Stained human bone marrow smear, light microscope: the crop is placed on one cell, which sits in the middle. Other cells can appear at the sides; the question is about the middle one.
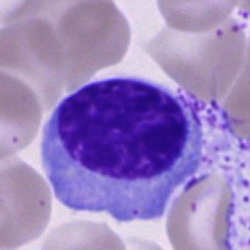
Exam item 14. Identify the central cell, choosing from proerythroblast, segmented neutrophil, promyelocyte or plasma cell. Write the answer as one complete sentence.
By type, the central cell of the crop is a plasma cell.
